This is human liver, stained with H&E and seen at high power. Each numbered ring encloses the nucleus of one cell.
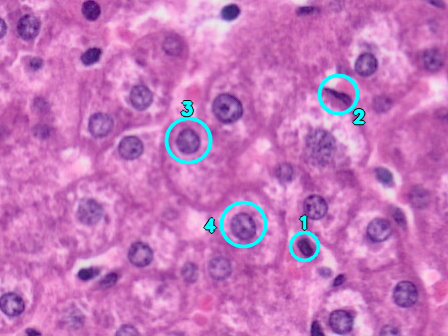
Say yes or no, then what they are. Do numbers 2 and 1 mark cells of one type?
No, in contrast to cell 1, which is a Kupffer cell, cell 2 is an endothelial cell.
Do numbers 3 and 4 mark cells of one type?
Yes, in the case of cells 3 and 4, both are hepatocytes.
